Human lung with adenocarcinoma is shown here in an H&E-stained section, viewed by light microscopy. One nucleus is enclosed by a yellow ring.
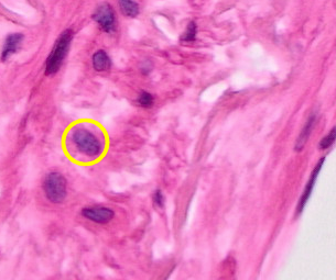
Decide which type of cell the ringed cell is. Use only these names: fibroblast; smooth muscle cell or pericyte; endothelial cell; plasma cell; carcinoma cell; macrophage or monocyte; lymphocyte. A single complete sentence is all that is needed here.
It is as a smooth muscle cell or pericyte that the ringed cell is classified.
